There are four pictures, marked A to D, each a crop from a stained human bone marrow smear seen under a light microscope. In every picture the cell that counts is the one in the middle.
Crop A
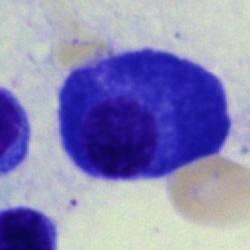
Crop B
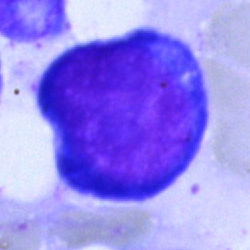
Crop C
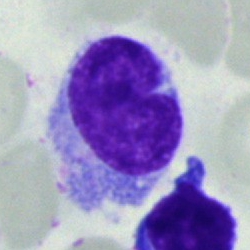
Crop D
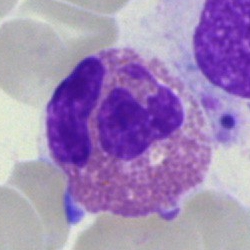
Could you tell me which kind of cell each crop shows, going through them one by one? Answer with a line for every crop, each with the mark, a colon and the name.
A: plasma cell
B: proerythroblast
C: hairy cell
D: eosinophil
